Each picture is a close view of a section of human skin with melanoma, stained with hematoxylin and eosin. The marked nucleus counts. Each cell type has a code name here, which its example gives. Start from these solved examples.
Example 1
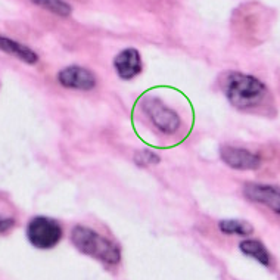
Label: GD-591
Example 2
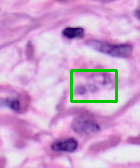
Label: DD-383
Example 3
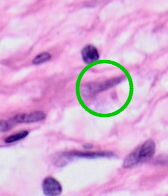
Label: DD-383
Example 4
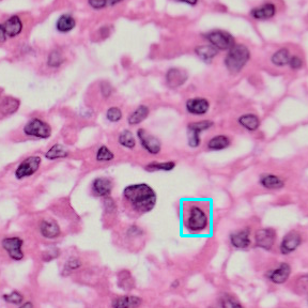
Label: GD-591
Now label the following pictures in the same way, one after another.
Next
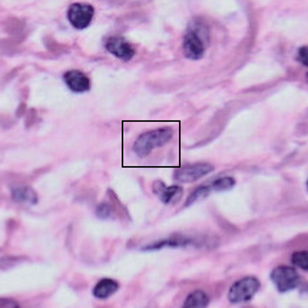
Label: GD-591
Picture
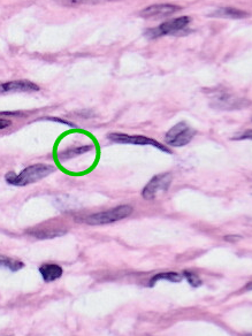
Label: DD-383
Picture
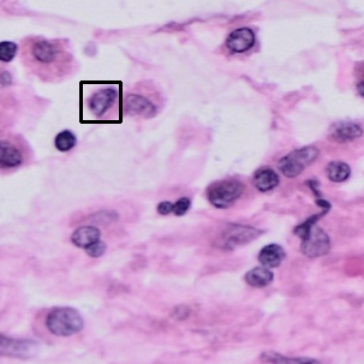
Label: GD-591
